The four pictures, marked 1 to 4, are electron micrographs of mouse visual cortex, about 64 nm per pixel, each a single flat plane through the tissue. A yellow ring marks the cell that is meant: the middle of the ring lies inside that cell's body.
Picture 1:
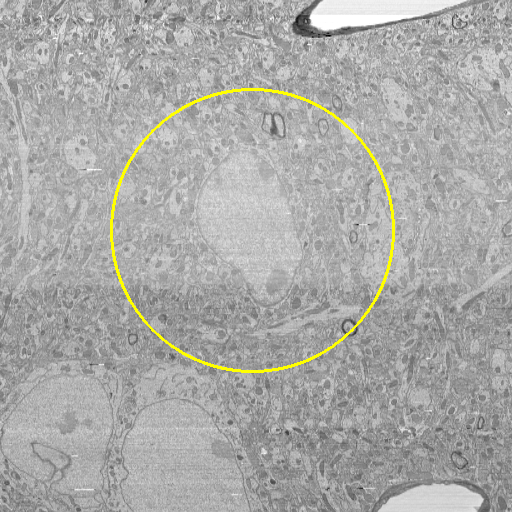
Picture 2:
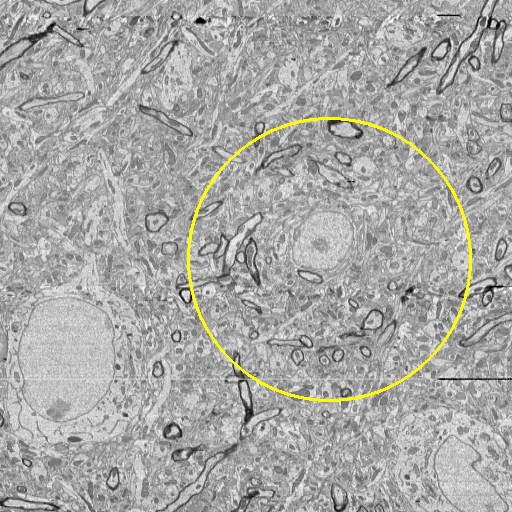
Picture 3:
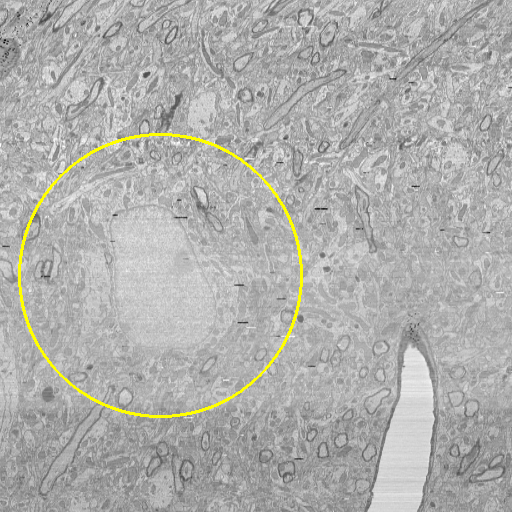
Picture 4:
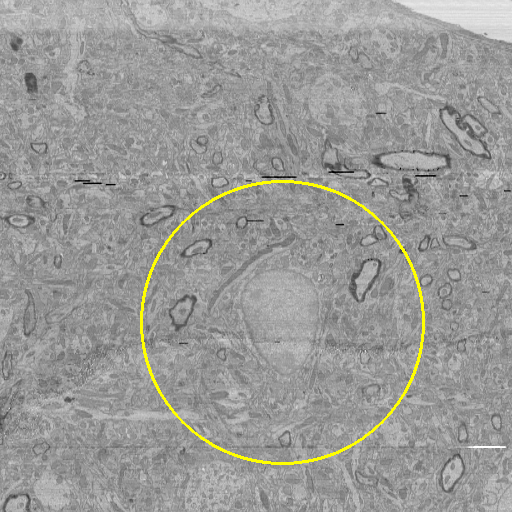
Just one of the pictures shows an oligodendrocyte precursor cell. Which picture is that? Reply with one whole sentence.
Picture 2 shows the oligodendrocyte precursor cell.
